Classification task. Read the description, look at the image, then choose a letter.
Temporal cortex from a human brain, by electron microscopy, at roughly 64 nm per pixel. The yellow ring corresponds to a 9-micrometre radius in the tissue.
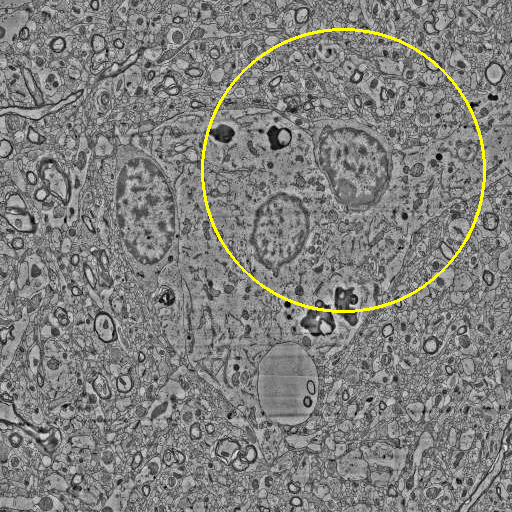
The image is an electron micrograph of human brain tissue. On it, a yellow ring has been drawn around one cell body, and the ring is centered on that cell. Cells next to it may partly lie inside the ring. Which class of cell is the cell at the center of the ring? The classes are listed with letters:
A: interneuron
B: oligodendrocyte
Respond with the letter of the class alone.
B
